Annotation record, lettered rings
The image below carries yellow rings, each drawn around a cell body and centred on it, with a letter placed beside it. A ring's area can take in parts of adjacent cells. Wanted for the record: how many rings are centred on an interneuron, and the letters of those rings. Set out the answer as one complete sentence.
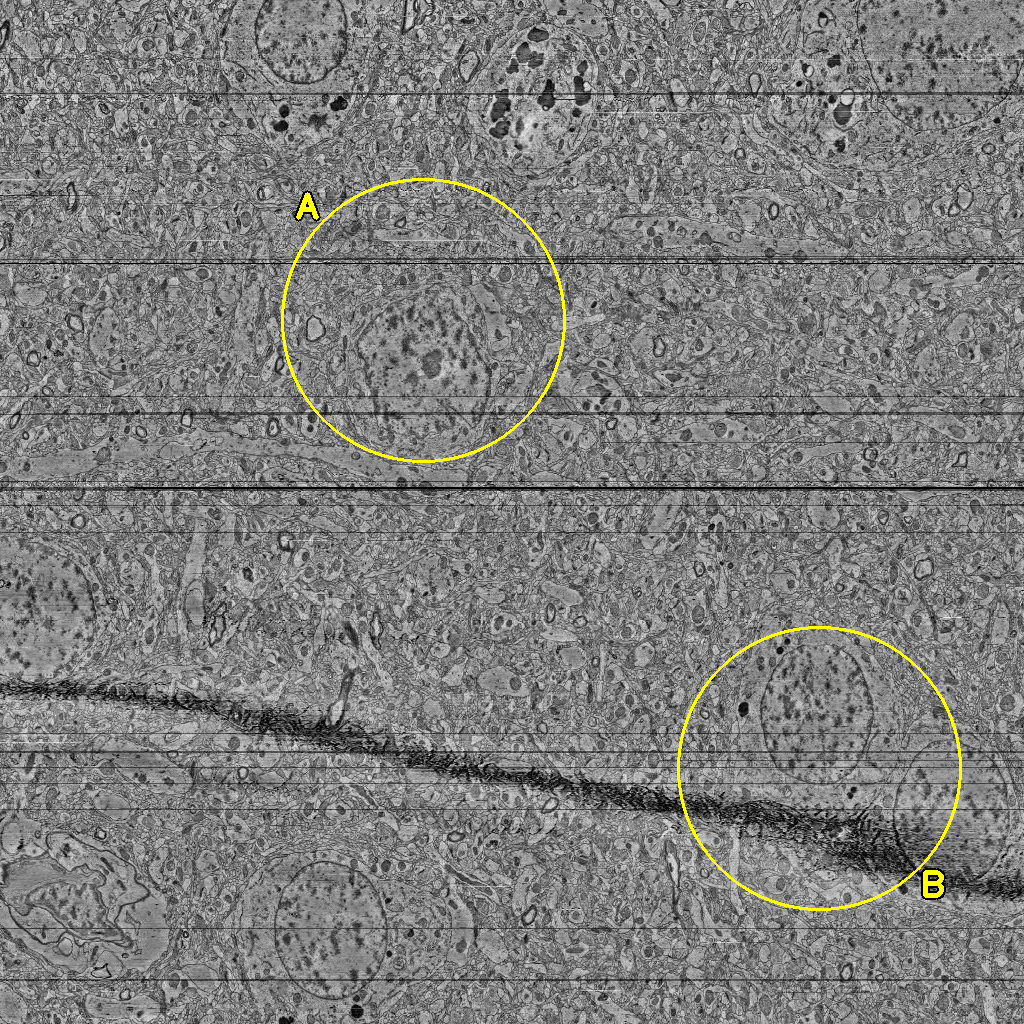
The micrograph contains only one ring centred on an interneuron, and beside it sits the letter A.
